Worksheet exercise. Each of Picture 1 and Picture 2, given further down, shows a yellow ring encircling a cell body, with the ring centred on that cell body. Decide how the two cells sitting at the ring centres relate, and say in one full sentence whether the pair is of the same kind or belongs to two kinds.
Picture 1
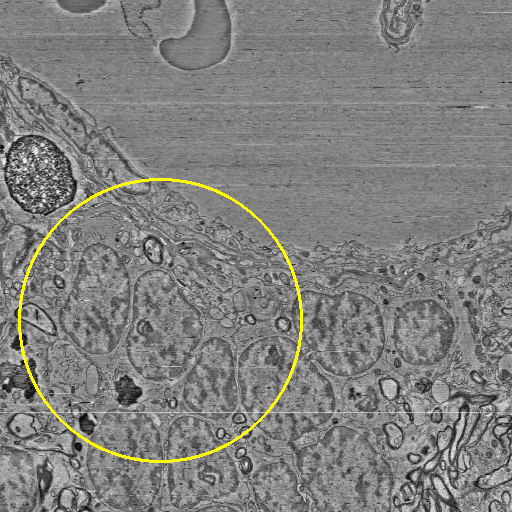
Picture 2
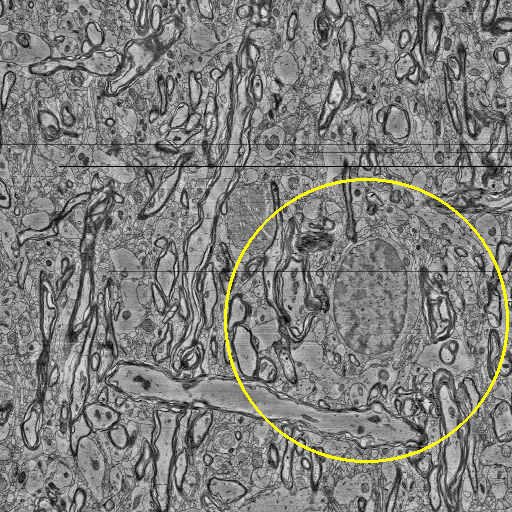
The cells at the ring centres in Picture 1 and Picture 2 are of the same kind.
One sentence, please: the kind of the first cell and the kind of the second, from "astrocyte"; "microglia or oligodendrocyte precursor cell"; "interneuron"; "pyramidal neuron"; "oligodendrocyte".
Each of the two rings surrounds an oligodendrocyte.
